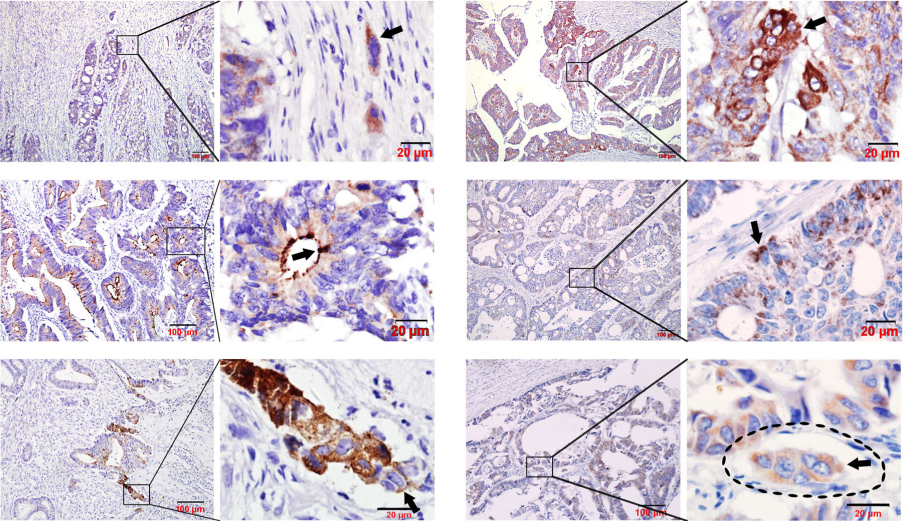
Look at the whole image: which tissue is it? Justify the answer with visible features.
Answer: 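Adenocarcinoma. Irregular glands lined by crowded columnar cells with enlarged nuclei. Glands lie in a fibrous stroma.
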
